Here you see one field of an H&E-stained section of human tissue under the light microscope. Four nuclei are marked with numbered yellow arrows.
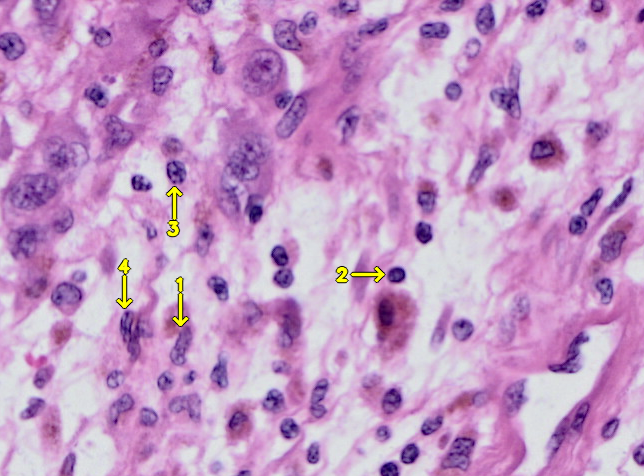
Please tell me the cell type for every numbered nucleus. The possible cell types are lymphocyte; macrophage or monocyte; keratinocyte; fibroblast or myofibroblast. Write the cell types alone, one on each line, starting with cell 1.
macrophage or monocyte
lymphocyte
lymphocyte
lymphocyte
